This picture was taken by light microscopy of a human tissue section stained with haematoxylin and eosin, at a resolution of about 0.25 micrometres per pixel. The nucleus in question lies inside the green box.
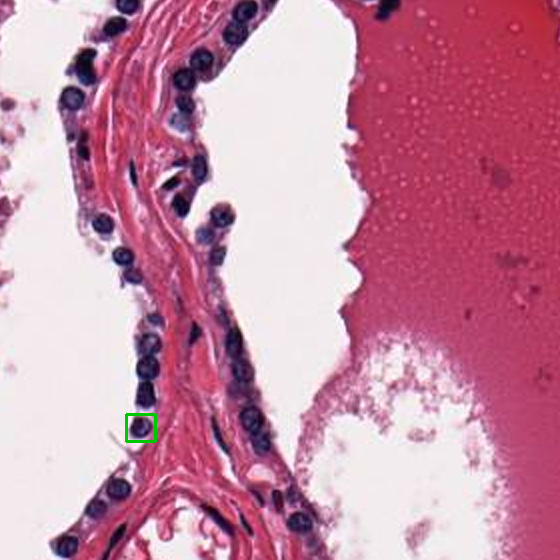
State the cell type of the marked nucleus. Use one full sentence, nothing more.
What the marked nucleus belongs to is a thyroid follicular cell.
